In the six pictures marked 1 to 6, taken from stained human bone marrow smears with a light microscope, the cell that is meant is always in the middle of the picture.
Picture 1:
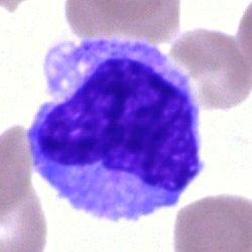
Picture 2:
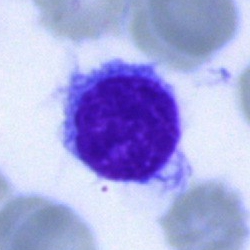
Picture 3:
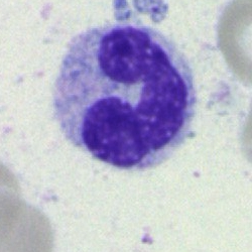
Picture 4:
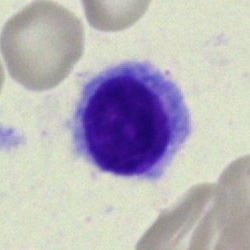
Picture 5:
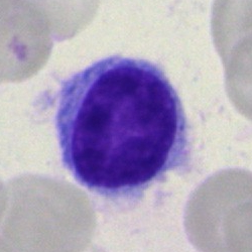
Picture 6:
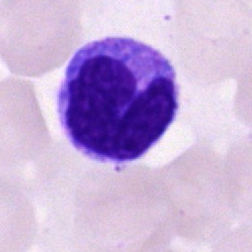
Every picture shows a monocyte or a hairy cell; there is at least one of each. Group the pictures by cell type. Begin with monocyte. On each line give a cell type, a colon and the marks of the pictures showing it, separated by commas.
monocyte: 1, 3, 6
hairy cell: 2, 4, 5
